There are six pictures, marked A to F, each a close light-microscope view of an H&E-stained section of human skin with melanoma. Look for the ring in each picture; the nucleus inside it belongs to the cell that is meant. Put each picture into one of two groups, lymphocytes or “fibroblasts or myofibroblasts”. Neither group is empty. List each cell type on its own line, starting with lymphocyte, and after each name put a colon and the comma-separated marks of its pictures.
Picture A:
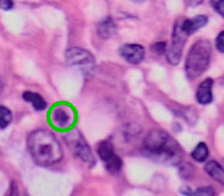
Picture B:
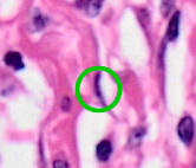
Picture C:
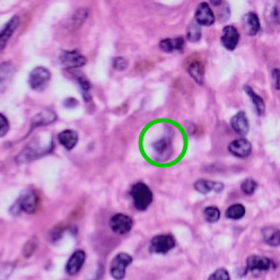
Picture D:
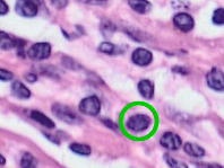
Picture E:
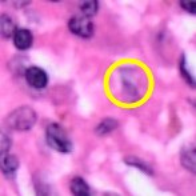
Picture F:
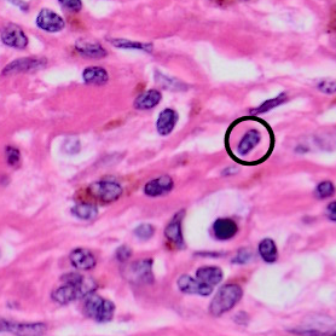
lymphocyte: A, D, F
fibroblast or myofibroblast: B, C, E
